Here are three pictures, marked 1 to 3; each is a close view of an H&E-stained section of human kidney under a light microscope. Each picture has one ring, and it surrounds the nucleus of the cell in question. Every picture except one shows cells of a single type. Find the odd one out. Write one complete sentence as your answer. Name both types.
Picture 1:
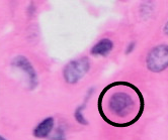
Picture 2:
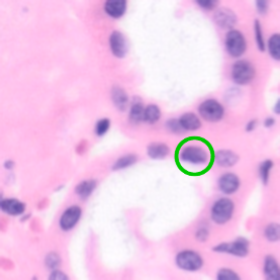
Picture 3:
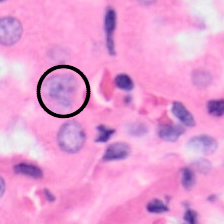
All pictures except 2 show proximal tubule cells; picture 2 shows a collecting duct cell.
